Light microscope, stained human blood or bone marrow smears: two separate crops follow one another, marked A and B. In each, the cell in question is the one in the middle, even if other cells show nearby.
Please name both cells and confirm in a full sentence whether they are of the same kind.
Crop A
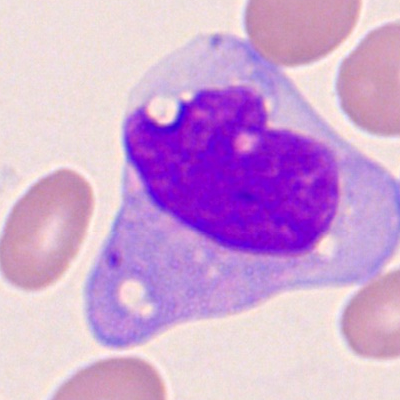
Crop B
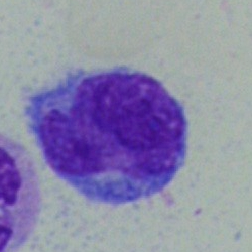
Yes, both crops show a cell each, and these are monocytes.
